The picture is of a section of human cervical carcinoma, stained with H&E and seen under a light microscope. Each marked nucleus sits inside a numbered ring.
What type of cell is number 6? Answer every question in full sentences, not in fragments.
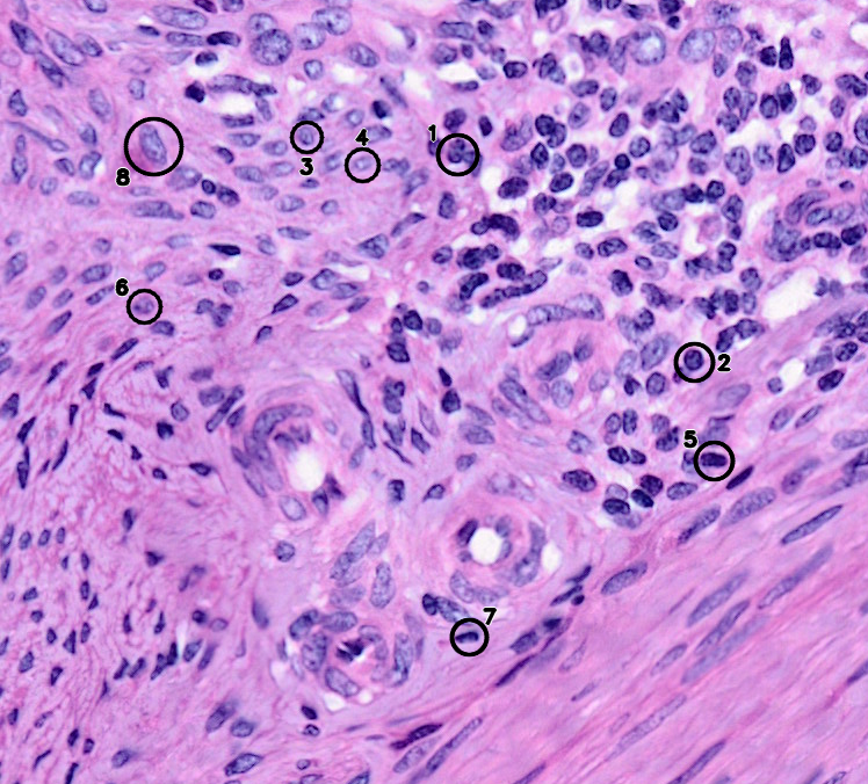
The one numbered 6 among the marked cells is a smooth muscle cell.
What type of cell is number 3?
Number 3 is placed on a smooth muscle cell here.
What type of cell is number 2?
The cell marked with number 2 is a lymphocyte.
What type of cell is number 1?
The cell pointed out as number 1 is a lymphocyte.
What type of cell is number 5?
The cell bearing label 5 corresponds to a lymphocyte.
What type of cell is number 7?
The cell numbered 7 has been identified as a lymphocyte.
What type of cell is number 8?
The identity of cell 8 is that of a smooth muscle cell.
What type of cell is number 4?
Regarding cell 4, this one is a smooth muscle cell.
